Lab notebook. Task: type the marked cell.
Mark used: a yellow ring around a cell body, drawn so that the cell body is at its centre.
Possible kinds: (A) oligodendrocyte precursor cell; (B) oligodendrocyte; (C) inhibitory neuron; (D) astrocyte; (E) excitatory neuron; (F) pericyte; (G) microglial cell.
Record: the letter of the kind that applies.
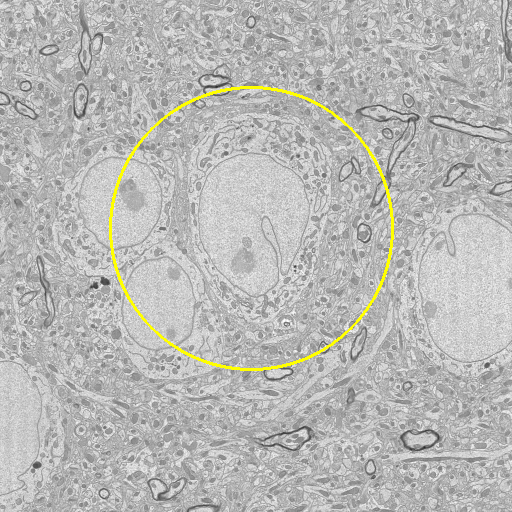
C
